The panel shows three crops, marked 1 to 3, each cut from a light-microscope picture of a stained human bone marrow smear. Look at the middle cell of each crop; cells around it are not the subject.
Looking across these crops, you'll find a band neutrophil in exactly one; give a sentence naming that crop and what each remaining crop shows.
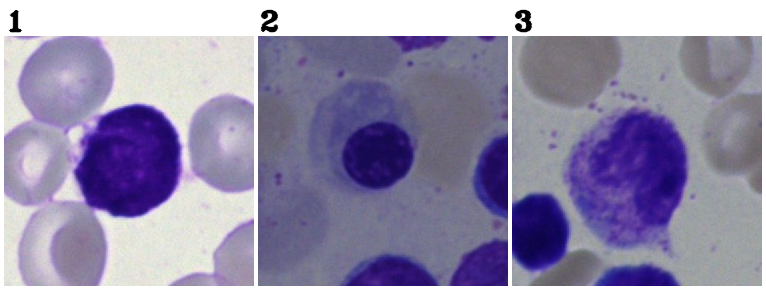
As for the set, crop 3 shows a band neutrophil, while crop 1 is a lymphocyte and crop 2 is a normoblast.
